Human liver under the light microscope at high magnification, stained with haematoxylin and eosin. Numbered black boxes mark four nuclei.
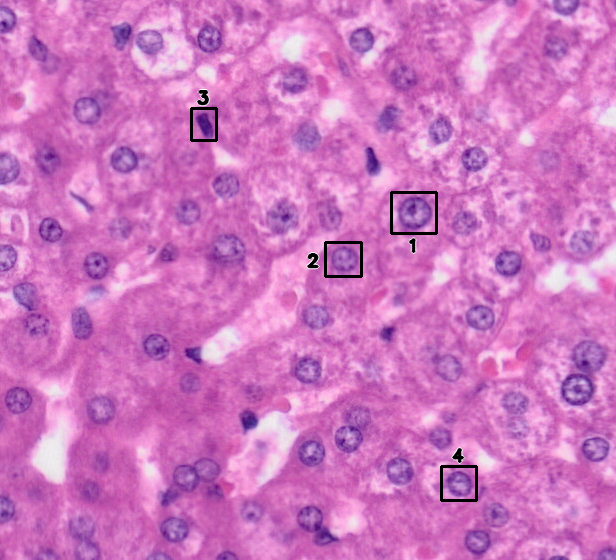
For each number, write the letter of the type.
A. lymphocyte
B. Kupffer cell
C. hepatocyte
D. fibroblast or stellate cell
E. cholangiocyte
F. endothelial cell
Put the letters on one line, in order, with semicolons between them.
C; C; D; C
